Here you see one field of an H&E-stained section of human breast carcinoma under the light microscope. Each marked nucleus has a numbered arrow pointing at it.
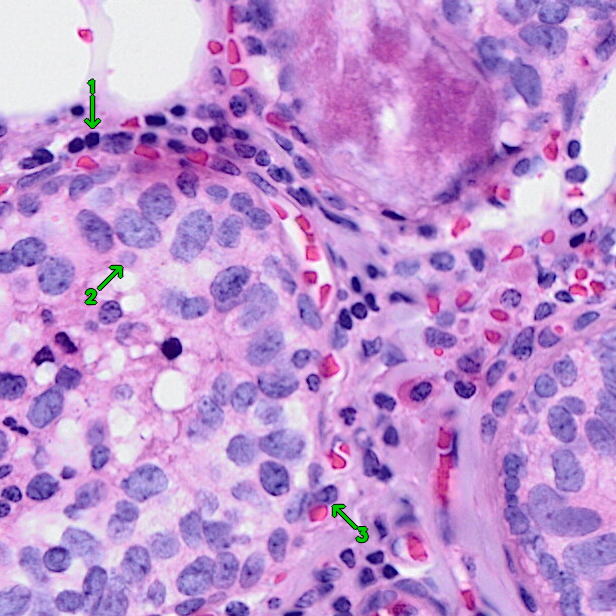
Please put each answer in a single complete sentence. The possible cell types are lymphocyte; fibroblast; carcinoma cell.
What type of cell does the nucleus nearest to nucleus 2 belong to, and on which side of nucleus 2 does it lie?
A carcinoma cell lies closest, above nucleus 2.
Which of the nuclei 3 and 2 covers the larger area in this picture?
Number 3 is larger; its area is about 2 times that of number 2.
